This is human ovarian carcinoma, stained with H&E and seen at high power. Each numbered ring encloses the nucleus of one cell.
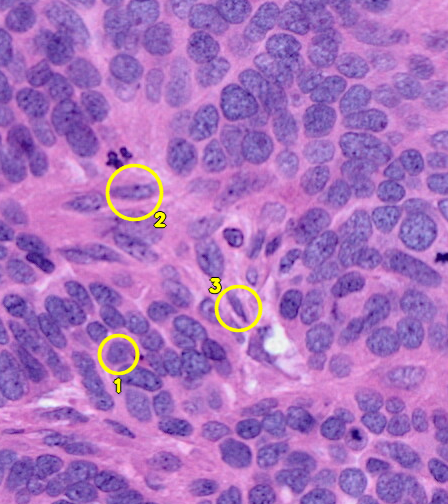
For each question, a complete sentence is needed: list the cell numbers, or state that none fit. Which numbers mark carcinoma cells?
It is cell 1, and no other numbered cell, that is a carcinoma cell.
